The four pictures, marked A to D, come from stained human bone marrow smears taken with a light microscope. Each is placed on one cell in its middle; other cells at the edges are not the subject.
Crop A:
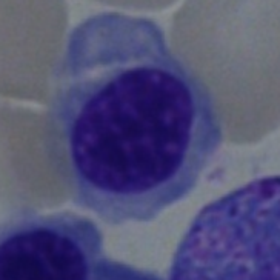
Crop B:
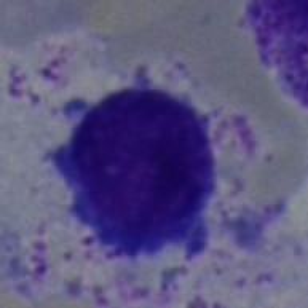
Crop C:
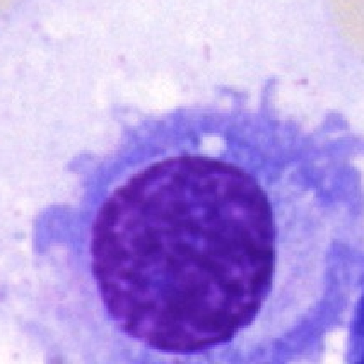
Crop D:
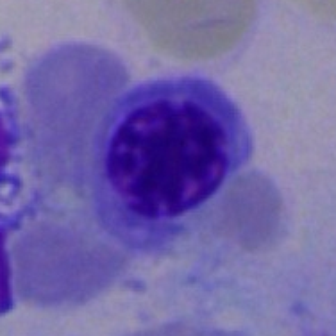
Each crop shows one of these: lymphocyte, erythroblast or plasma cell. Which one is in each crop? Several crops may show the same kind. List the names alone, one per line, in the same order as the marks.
erythroblast
lymphocyte
plasma cell
erythroblast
